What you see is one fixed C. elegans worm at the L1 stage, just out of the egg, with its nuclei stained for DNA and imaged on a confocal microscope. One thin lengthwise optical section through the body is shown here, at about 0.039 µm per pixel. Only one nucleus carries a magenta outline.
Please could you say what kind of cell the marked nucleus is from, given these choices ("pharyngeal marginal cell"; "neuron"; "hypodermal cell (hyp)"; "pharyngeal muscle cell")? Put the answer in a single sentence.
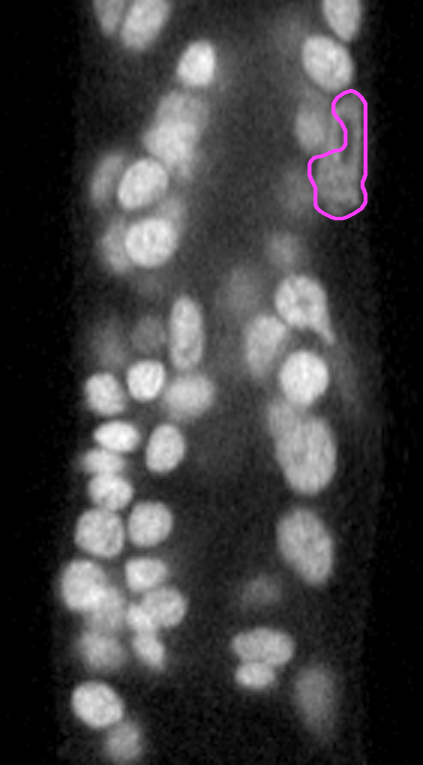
The marked nucleus belongs to a hypodermal cell (hyp).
